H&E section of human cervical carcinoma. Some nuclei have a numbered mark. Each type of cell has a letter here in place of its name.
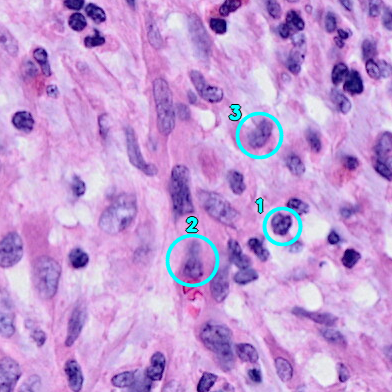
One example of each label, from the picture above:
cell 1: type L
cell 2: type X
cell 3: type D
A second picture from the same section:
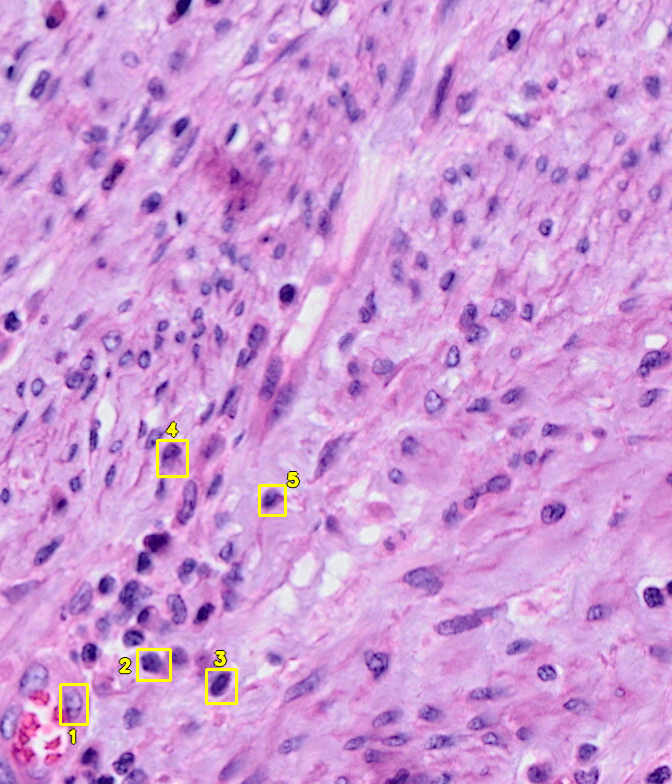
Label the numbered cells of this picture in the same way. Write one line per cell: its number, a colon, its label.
1: type X
2: type L
3: type L
4: type D
5: type L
